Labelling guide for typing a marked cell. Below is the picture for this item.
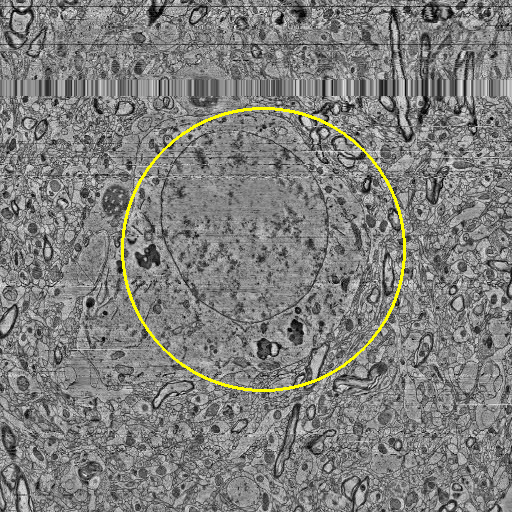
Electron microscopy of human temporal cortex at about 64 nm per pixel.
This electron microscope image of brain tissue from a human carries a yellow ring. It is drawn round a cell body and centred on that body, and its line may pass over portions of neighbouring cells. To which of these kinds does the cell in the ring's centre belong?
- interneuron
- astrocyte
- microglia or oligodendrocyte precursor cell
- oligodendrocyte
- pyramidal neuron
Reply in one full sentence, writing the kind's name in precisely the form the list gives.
Here we have a pyramidal neuron at the centre of the yellow ring in the picture.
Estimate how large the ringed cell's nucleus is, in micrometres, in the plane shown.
In this plane the nucleus spans approximately 13 by 11 micrometers.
